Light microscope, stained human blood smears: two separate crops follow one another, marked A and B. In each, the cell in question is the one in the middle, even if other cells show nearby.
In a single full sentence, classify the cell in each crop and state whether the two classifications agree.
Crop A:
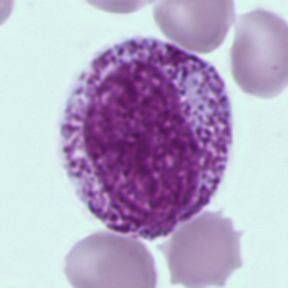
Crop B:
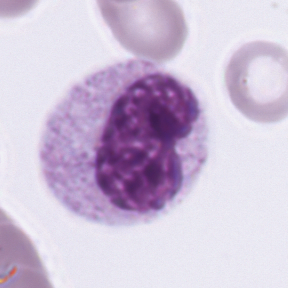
No, a myelocyte is the subject of crop A, and a metamyelocyte is the subject of crop B.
